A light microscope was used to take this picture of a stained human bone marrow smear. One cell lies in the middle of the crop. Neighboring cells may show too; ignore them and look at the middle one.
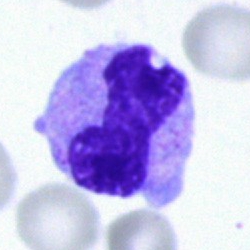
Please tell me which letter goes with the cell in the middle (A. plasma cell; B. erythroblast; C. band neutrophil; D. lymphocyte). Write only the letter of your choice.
C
